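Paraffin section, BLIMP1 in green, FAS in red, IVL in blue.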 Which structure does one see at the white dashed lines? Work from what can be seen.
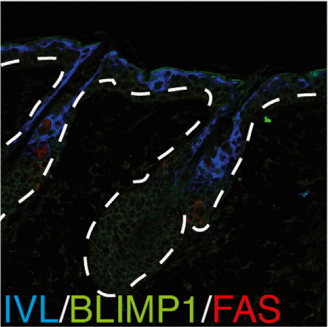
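The dashed line follows the base of the thin surface epithelium. Dashed lines outline downgrowths of epithelium into the underlying connective tissue. The answer: epidermal-dermal boundary.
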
